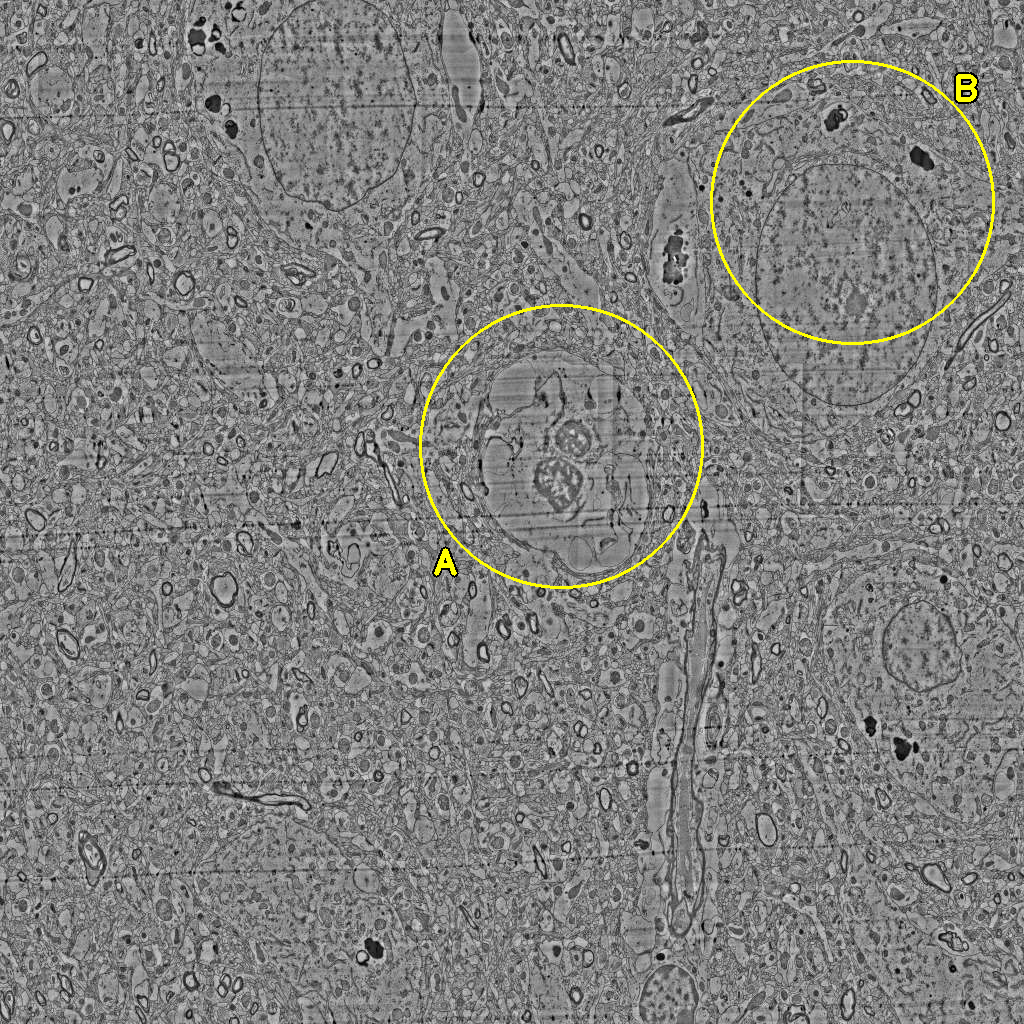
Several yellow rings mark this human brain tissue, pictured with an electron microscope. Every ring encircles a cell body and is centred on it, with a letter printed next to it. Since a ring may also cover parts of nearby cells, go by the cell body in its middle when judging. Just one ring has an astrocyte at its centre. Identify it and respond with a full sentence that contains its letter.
The answer is ring A, whose centre rests on the cell asked for.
